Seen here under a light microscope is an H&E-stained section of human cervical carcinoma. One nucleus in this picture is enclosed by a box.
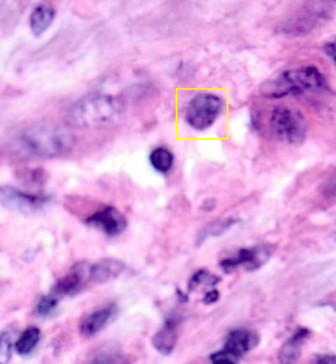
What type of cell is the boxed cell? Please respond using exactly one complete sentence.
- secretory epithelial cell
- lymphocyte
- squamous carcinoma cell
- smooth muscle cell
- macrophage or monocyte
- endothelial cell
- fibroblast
What the boxed cell represents is a macrophage or monocyte.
